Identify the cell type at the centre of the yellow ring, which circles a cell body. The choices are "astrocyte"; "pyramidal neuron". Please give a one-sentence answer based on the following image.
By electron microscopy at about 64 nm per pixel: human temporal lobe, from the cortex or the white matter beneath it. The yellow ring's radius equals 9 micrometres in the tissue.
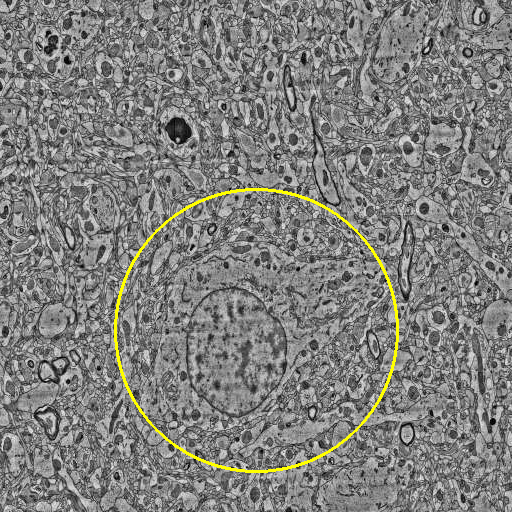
The cell marked by the ring is a pyramidal neuron.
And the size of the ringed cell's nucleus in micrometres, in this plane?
Approximately 8 by 6 micrometers in this plane.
